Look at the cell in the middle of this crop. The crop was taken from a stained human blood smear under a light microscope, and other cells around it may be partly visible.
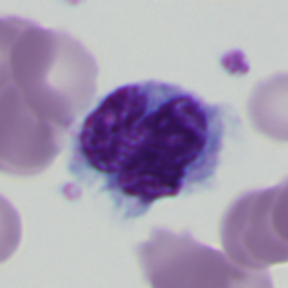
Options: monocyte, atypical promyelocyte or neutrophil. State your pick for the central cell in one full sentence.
The crop centres on a single cell, and that cell is a monocyte.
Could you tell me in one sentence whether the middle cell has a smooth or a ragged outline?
A smooth outline is absent here, replaced by ragged stretches or projections.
